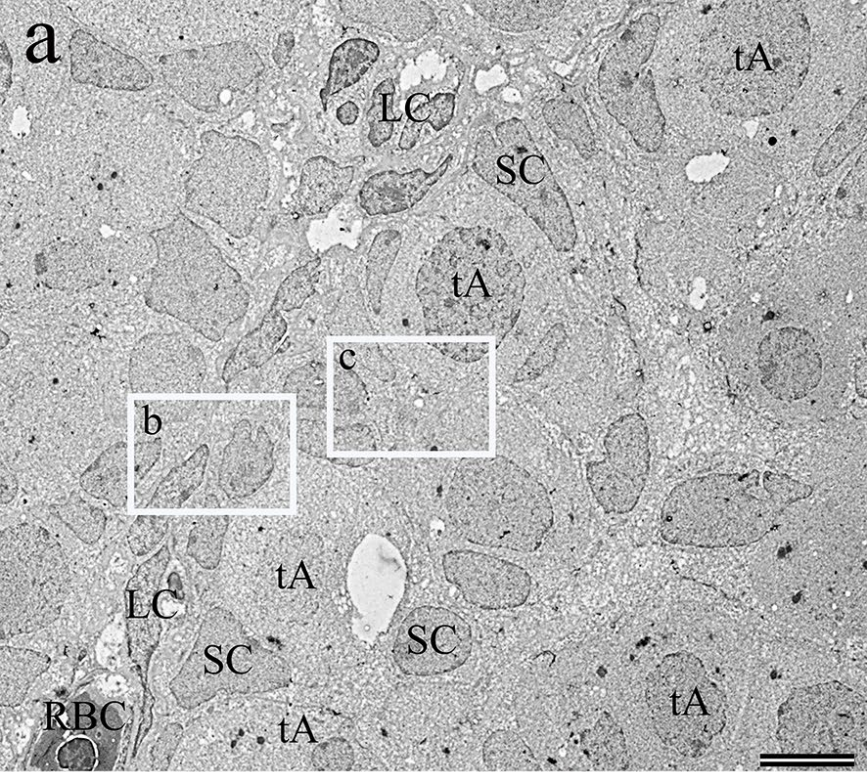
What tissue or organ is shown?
developing seminiferous tubules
